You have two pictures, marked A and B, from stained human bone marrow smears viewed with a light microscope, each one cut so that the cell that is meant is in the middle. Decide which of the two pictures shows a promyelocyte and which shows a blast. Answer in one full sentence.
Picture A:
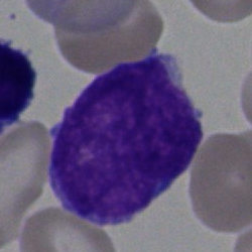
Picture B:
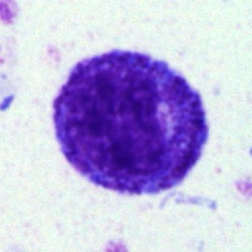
Picture A is of a blast, and picture B is of a promyelocyte.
